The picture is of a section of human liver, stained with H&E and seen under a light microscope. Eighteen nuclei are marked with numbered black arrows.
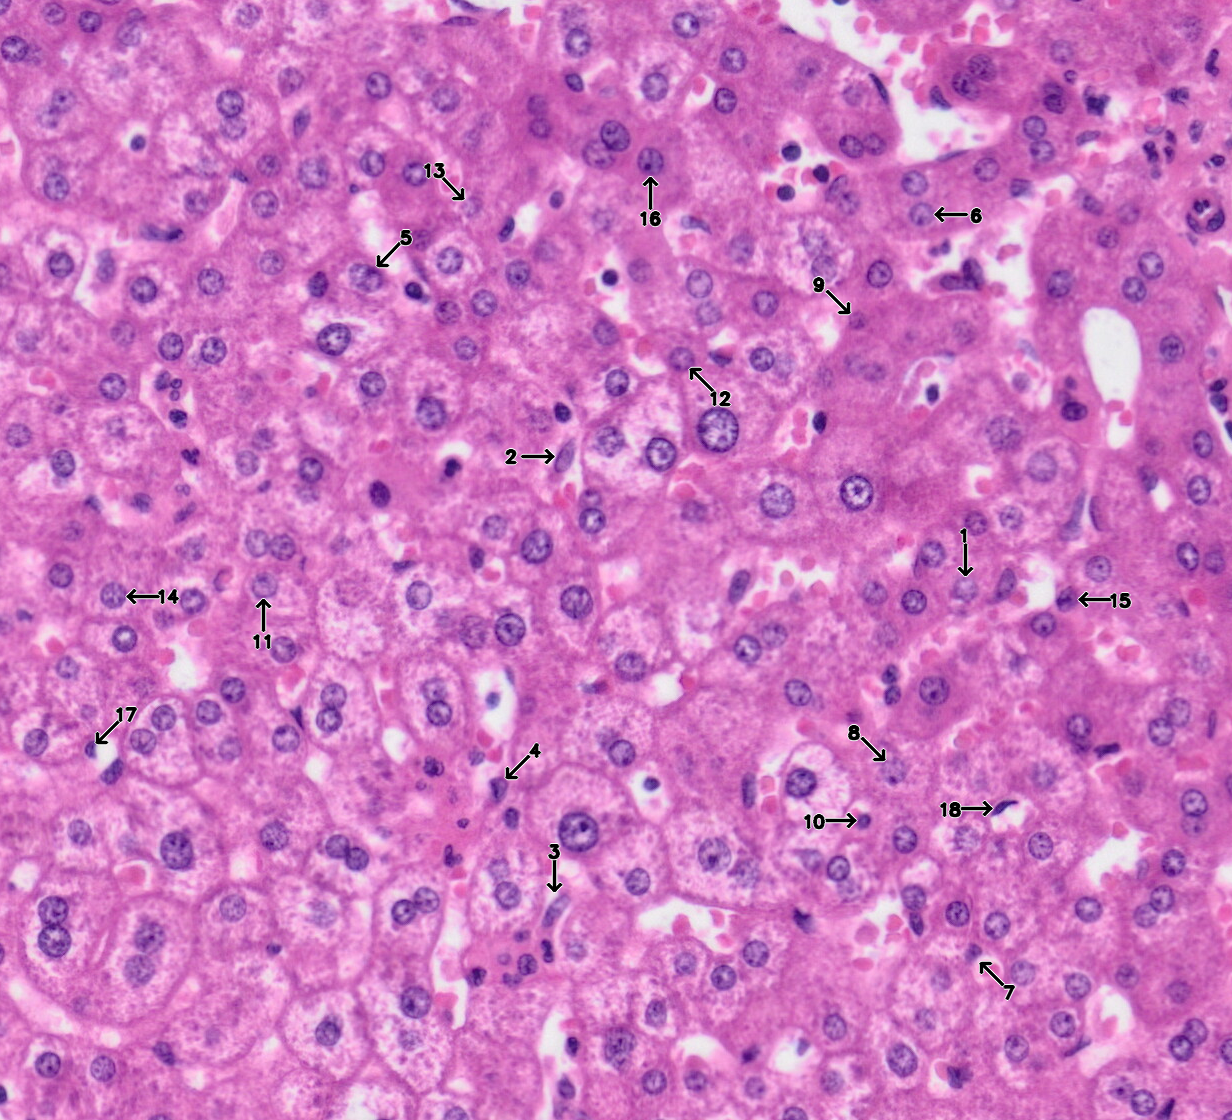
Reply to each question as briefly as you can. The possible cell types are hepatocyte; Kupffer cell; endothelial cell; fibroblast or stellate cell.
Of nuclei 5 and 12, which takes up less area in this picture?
12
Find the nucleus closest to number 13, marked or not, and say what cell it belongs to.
endothelial cell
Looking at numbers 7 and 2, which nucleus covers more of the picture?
2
